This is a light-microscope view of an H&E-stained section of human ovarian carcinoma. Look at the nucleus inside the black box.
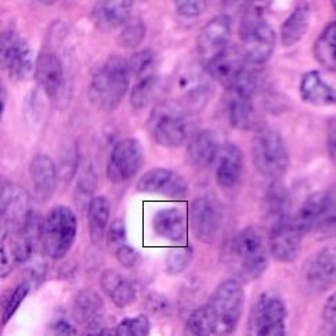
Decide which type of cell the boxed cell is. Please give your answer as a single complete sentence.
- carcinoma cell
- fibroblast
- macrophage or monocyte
As to its cell type, the boxed cell is a carcinoma cell.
